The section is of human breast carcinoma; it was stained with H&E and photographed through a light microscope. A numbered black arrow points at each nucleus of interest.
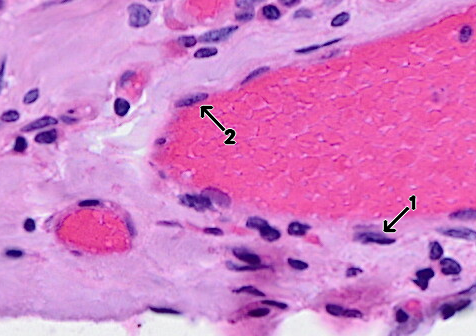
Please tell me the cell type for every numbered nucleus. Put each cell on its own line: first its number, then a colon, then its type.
1: fibroblast
2: endothelial cell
